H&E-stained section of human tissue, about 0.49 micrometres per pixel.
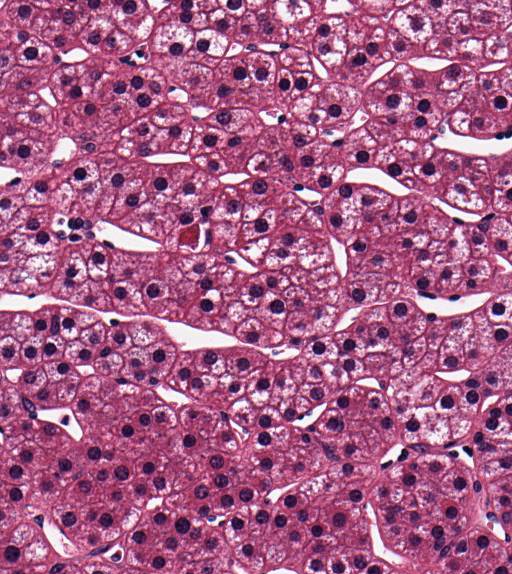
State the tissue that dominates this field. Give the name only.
zona fasciculata of the adrenal gland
